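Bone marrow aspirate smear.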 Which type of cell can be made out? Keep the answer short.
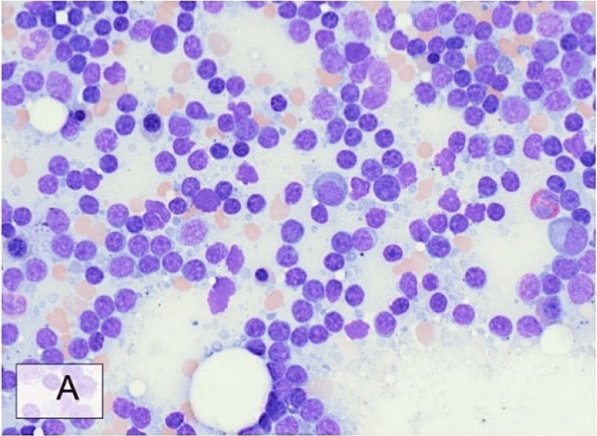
mature-appearing lymphocytes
